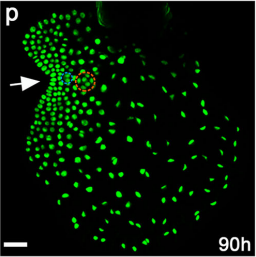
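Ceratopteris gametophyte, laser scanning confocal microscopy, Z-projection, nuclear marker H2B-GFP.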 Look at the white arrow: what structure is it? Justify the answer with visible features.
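The arrow points into an indentation of the thallus margin. Nuclei near the indentation are small and densely crowded. Nuclei in the rest of the thallus are larger-spaced and elongated. On this evidence: multicellular meristem.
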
